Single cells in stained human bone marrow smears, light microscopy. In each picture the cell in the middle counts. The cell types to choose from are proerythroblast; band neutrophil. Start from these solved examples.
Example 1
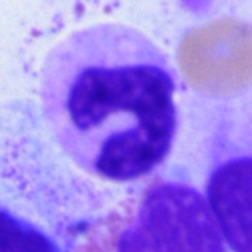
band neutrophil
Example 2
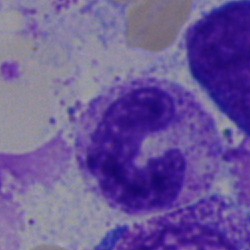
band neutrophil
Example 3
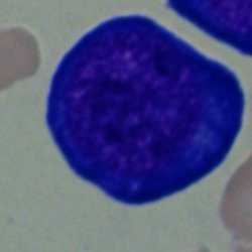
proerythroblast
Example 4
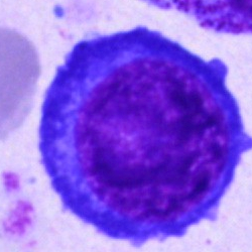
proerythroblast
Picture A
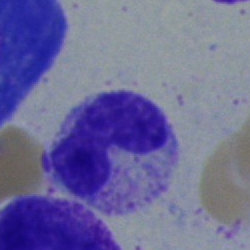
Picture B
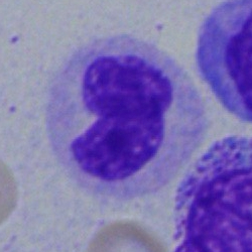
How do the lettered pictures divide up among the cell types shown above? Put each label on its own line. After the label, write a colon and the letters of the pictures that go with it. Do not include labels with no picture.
band neutrophil: A, B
